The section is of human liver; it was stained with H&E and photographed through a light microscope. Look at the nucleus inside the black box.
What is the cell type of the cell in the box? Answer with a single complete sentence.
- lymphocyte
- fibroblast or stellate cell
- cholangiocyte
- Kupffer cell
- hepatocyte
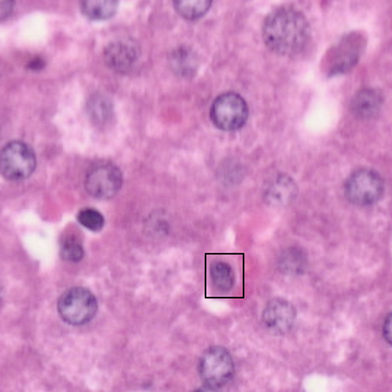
This is a Kupffer cell.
